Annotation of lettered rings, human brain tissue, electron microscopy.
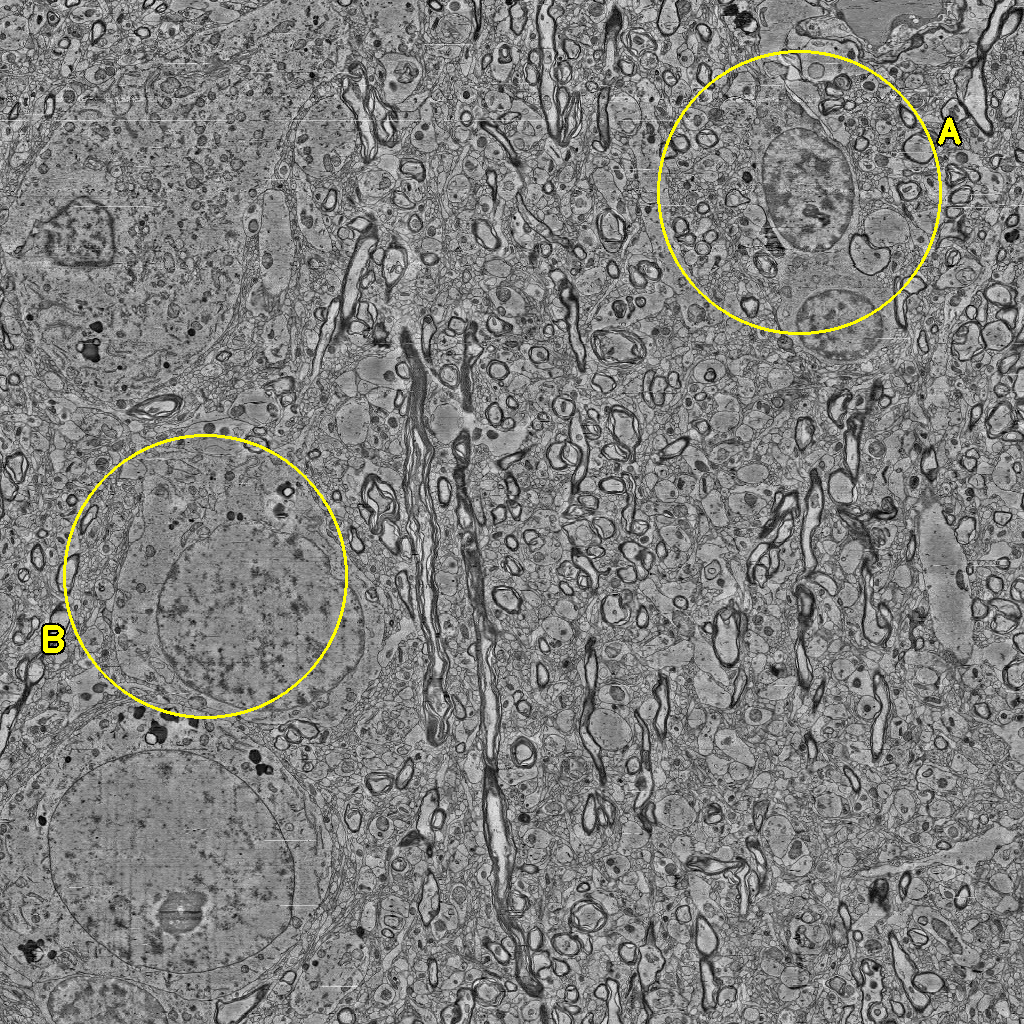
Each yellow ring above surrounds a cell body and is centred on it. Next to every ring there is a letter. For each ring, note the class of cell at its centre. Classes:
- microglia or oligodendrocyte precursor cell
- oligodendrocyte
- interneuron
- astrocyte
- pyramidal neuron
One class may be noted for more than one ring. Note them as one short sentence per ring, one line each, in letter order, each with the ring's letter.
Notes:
The class noted at ring A is an oligodendrocyte.
The class noted at ring B is an interneuron.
